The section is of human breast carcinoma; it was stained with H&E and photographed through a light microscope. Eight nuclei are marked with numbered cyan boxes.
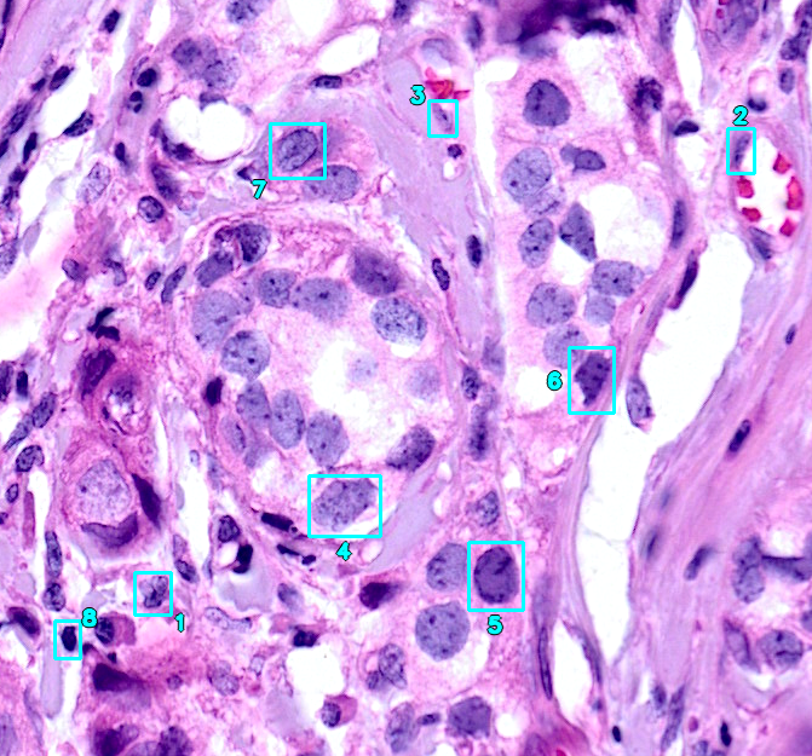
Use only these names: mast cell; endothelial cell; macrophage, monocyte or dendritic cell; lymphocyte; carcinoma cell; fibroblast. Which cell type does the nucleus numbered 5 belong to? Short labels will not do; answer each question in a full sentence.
The cell pointed out by number 5 is a carcinoma cell.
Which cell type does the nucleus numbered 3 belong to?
Recognised here as an endothelial cell is the cell numbered 3.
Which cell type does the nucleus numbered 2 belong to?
Classified as an endothelial cell is the cell with the number 2.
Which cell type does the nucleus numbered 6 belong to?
Marked with the number 6, this cell is a carcinoma cell.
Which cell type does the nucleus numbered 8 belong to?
The label 8 in this section denotes a lymphocyte.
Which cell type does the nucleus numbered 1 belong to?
The marked cell with the number 1 is recognised as a macrophage, monocyte or dendritic cell.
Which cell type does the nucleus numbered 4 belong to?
Cell number 4 in this section is a carcinoma cell.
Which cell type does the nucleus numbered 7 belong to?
Number 7 among the marked cells is a carcinoma cell.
